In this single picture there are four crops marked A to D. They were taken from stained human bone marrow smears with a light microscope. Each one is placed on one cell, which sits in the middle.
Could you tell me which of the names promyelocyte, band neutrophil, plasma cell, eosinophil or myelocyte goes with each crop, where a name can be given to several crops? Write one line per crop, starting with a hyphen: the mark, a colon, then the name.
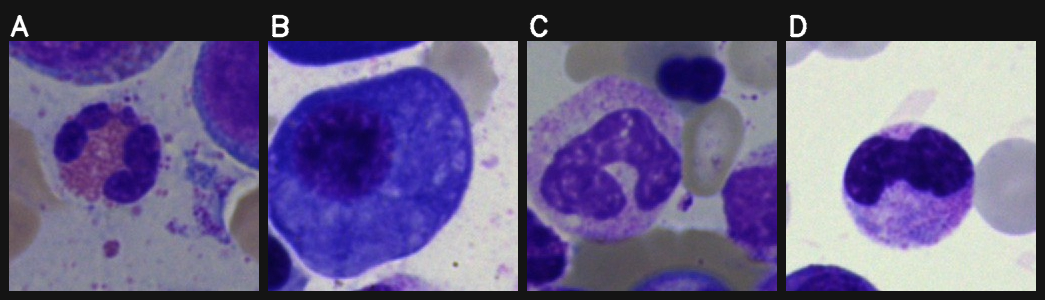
- A: eosinophil
- B: plasma cell
- C: band neutrophil
- D: band neutrophil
